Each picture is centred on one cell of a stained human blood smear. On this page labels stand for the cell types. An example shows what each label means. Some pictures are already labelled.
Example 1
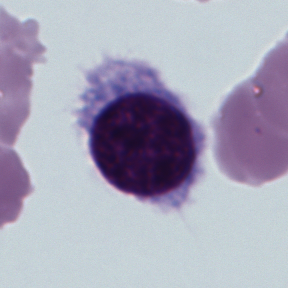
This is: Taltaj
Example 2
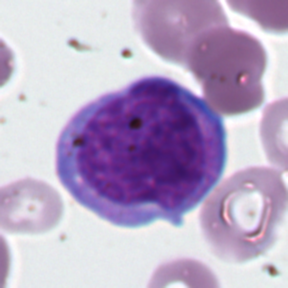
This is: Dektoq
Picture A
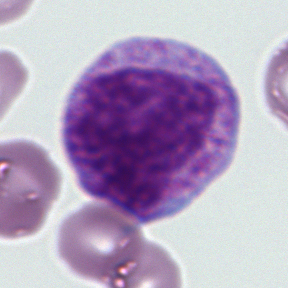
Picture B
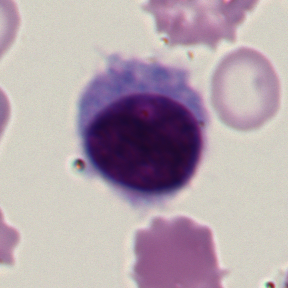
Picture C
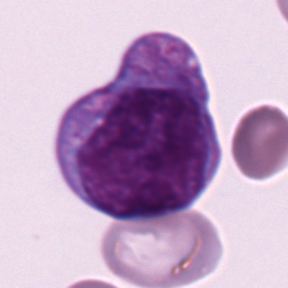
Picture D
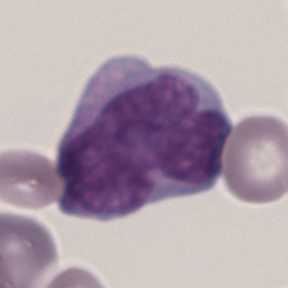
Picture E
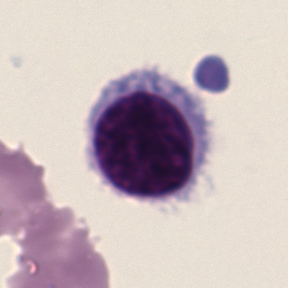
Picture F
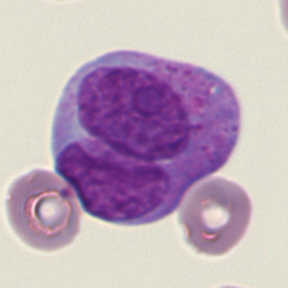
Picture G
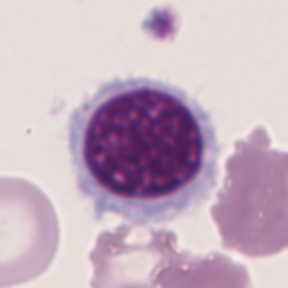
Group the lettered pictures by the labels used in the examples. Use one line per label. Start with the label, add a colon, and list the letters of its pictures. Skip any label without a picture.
Taltaj: B, E, G
Dektoq: A, C, D, F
